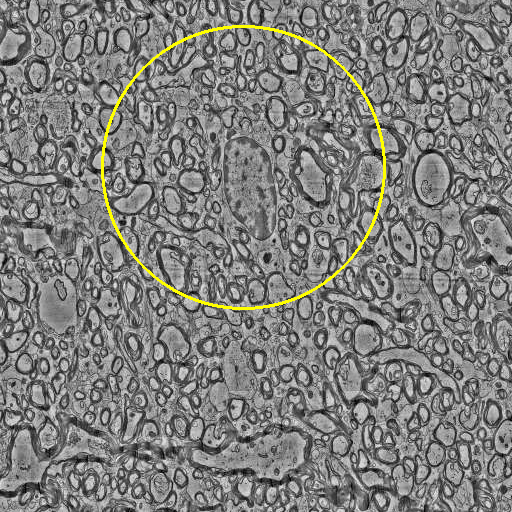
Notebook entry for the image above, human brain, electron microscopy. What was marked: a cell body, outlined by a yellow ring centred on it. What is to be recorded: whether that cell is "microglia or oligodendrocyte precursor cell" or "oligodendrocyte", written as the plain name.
microglia or oligodendrocyte precursor cell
